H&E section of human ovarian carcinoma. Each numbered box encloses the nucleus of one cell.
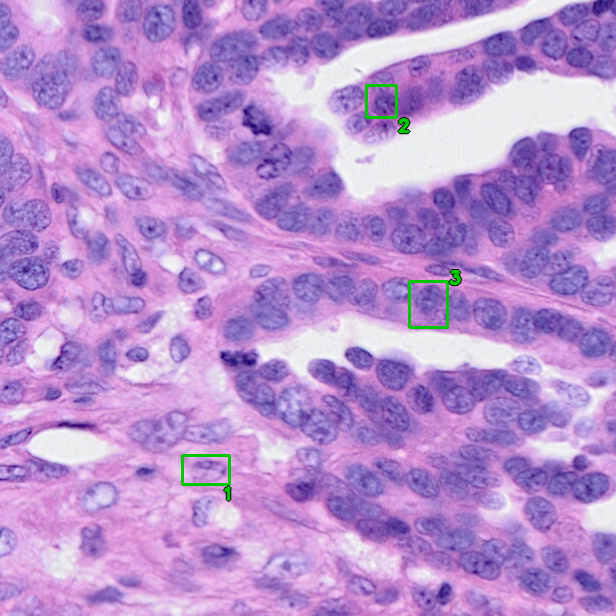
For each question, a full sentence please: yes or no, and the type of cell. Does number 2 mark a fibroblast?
No, cell 2 does not count as a fibroblast; it is a carcinoma cell.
